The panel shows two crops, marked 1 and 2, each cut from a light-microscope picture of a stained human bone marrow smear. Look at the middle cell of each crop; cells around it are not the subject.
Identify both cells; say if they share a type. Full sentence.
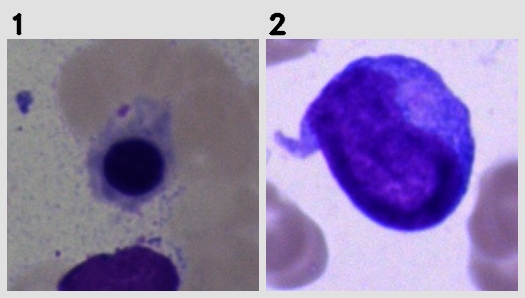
No, sorry, crop 1 shows a normoblast and crop 2 shows a blast.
